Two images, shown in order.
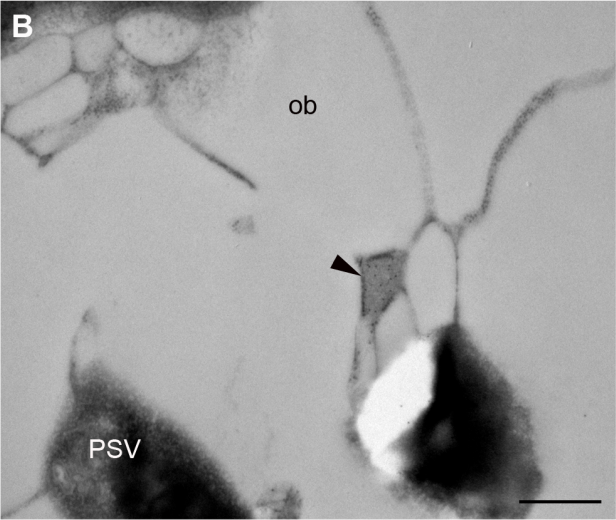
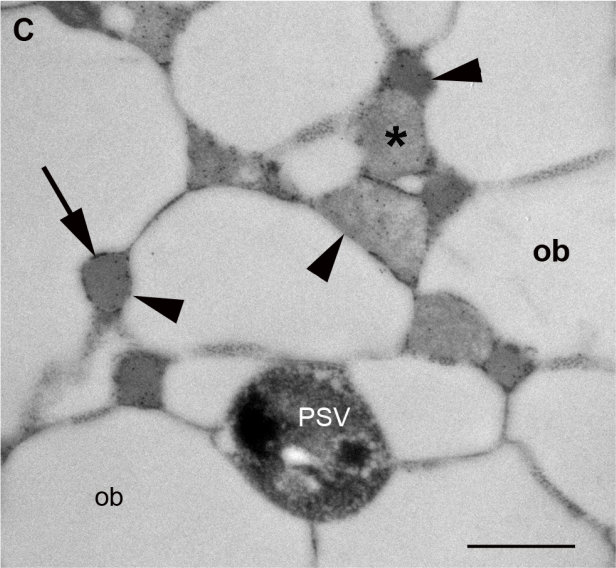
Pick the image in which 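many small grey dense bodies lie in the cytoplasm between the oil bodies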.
The second image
